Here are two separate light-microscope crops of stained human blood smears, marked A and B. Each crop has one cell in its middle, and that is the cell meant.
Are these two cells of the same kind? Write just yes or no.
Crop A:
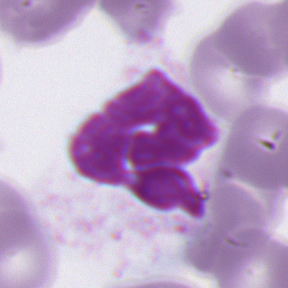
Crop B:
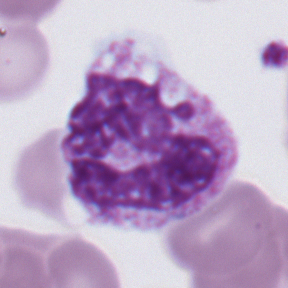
yes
